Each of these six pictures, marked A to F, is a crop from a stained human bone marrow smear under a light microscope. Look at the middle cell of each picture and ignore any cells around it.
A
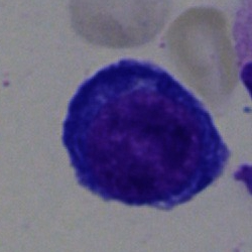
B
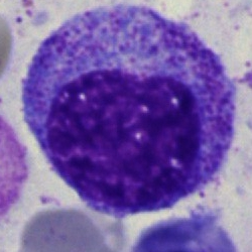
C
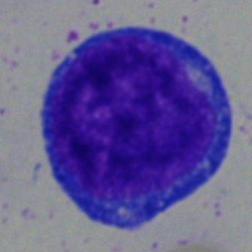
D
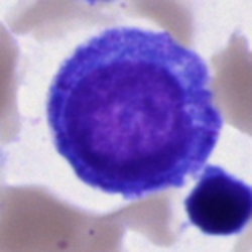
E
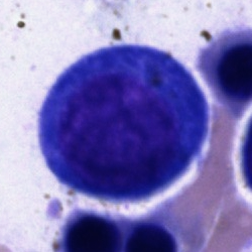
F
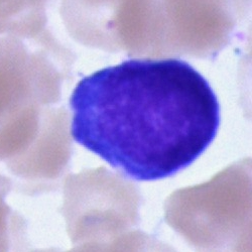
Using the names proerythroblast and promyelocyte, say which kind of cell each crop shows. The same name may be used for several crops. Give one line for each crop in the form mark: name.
A: proerythroblast
B: promyelocyte
C: proerythroblast
D: promyelocyte
E: proerythroblast
F: proerythroblast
